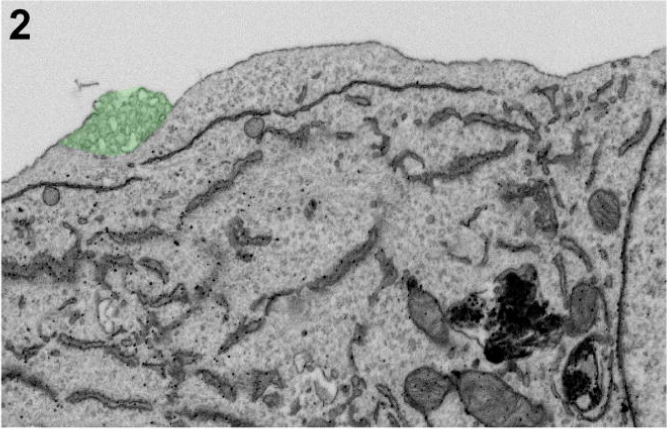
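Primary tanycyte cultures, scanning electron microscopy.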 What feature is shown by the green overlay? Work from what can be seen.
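Multivesicular cargo. The green-tinted cluster is made of many small round vesicles. It sits at the edge of the cell surface.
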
